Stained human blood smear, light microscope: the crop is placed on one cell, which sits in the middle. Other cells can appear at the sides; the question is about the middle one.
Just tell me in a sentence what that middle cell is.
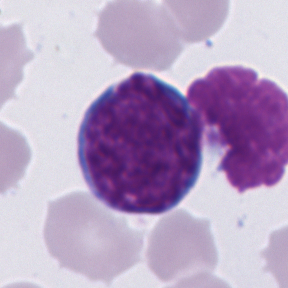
The cell the crop is centered on is a blast.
